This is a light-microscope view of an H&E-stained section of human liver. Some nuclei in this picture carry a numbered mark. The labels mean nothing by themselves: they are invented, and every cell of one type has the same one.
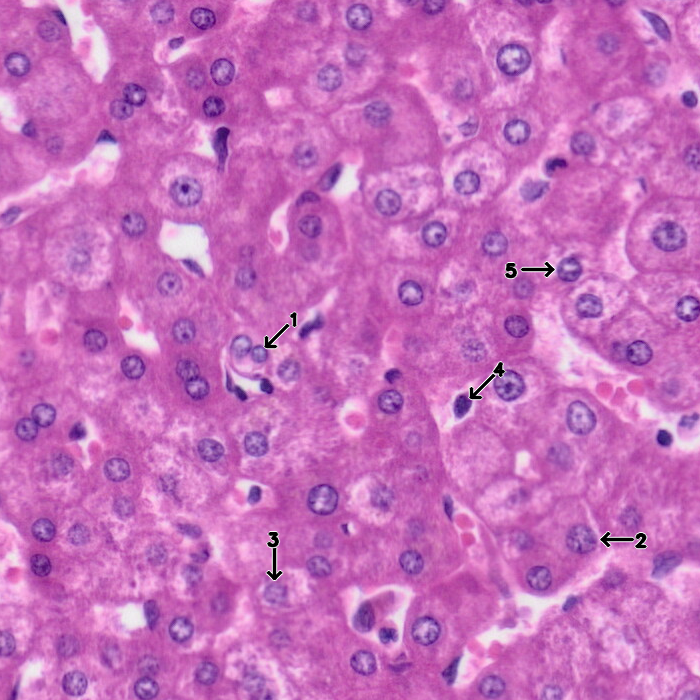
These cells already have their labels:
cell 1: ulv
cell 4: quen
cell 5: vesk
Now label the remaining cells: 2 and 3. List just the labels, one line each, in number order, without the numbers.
vesk
vesk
